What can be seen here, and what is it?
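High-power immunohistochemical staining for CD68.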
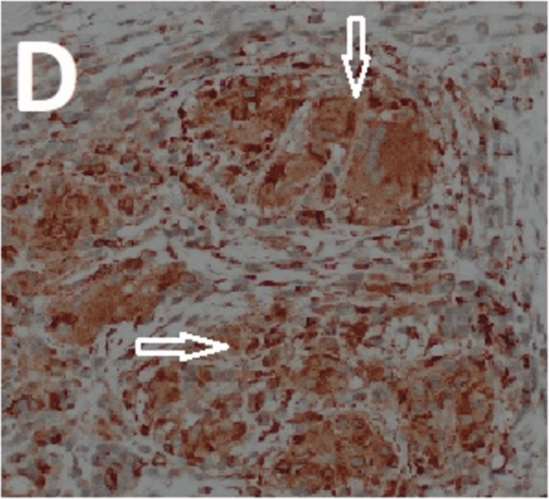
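These are clusters of epithelioid histiocytes and multinucleated giant cells, and their cytoplasm is stained brown. They form rounded nests of large cells with abundant granular brown cytoplasm. Between the nests run paler, bluish-grey fibrous strands with elongated spindle-shaped cells. Some larger brown cell masses likely correspond to giant cells. Scattered smaller brown cells also lie in the surrounding stroma.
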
